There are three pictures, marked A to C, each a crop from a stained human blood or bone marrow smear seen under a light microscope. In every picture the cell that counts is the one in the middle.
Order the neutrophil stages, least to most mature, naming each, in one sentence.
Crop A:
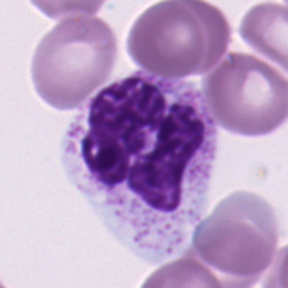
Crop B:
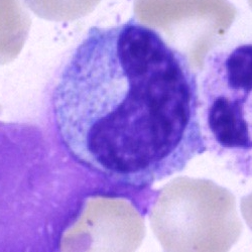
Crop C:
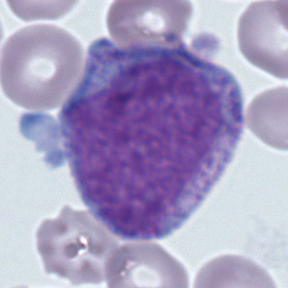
The order from the least mature cell to the most mature cell is crop C (a promyelocyte), crop B (a metamyelocyte) and crop A (a segmented neutrophil).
